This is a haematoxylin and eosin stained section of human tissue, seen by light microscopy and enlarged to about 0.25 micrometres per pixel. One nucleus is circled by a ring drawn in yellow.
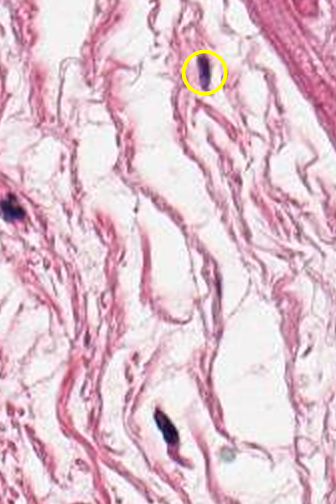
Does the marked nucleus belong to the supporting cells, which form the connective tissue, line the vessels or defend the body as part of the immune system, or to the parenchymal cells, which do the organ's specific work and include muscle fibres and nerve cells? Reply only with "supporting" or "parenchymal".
supporting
